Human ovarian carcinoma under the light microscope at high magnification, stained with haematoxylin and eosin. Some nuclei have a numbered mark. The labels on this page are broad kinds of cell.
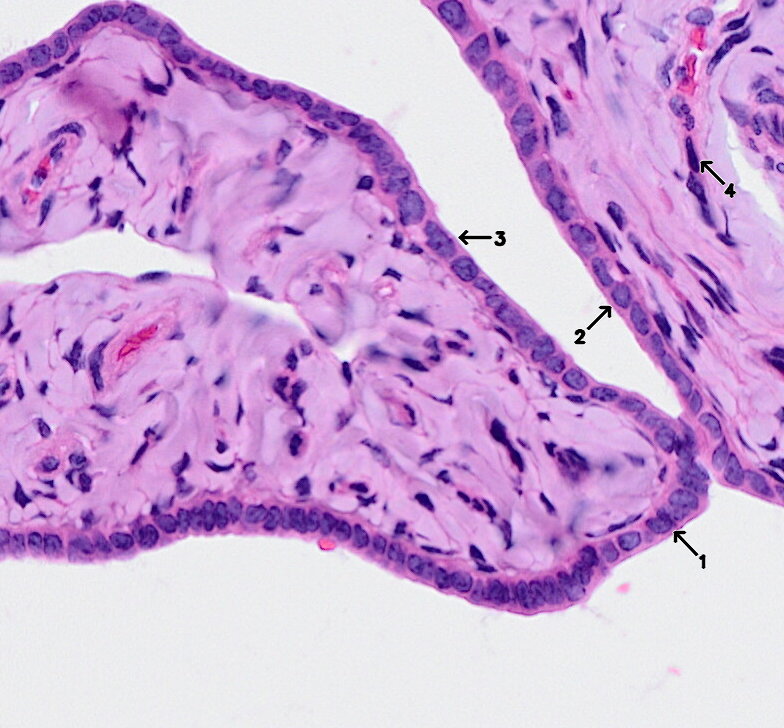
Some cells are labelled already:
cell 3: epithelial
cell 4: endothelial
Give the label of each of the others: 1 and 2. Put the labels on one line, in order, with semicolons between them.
epithelial; epithelial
